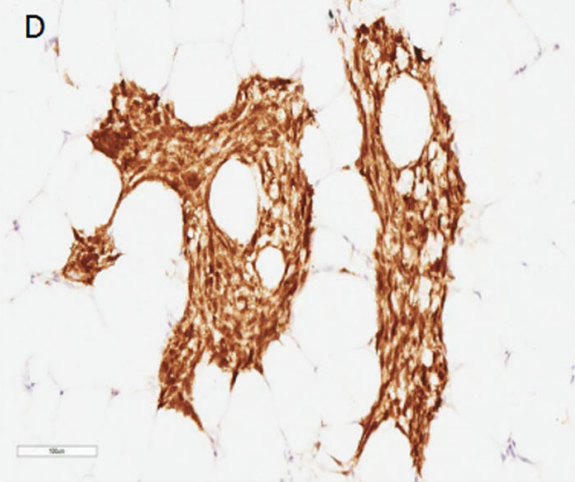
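Several round, empty fat cells are enclosed within the brown nests. All around, the large empty fat cells of the surrounding tissue are unstained, with only thin pale walls and a few small bluish nuclei.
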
